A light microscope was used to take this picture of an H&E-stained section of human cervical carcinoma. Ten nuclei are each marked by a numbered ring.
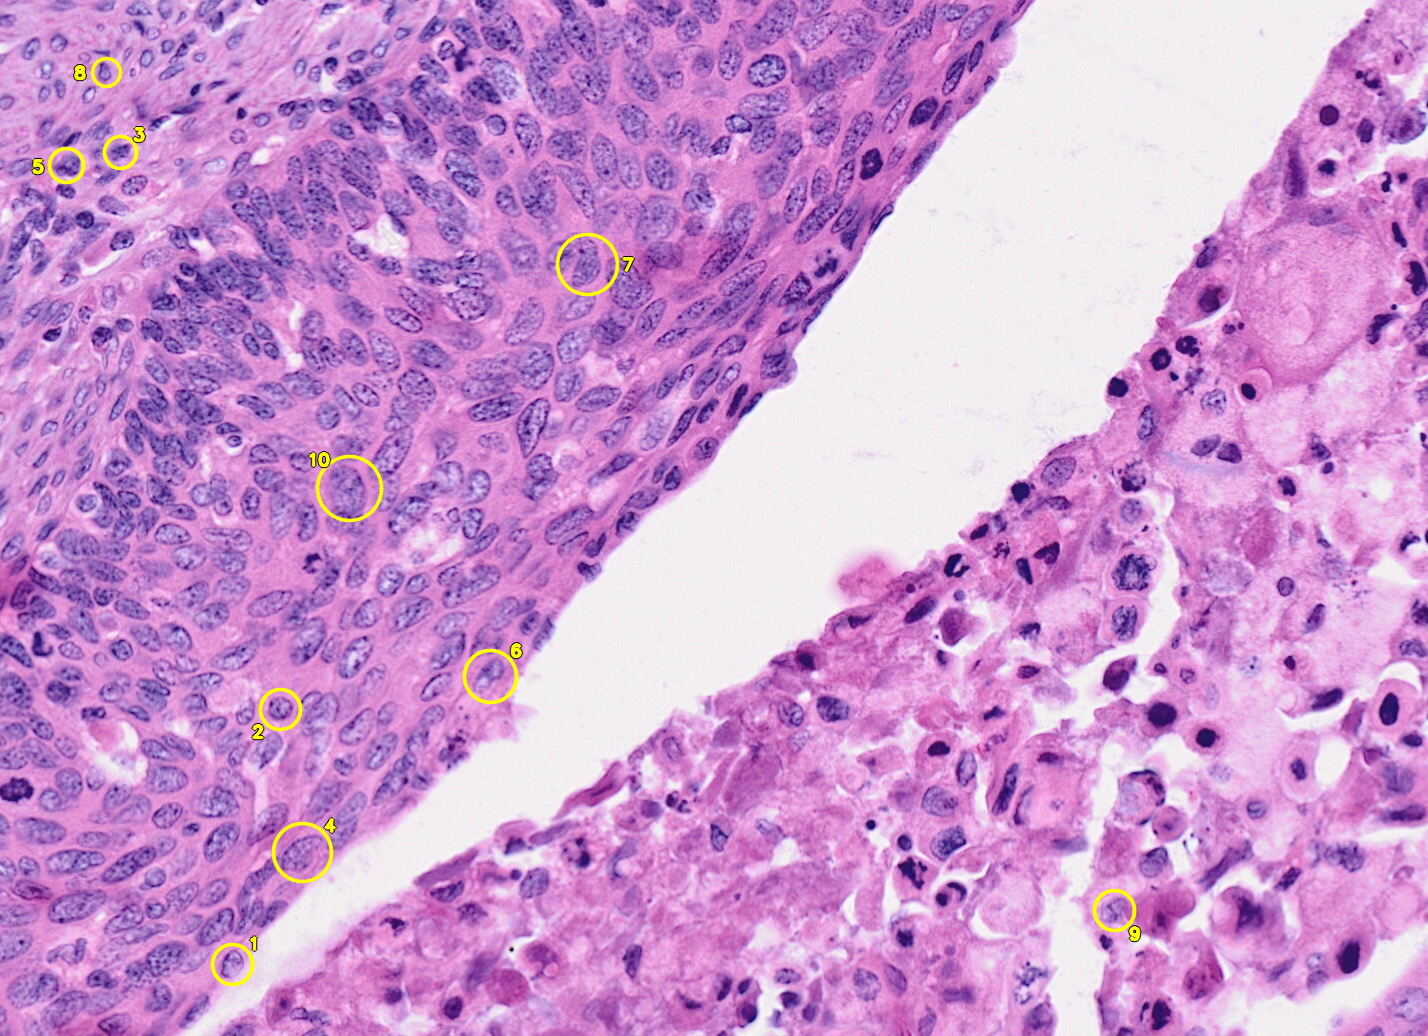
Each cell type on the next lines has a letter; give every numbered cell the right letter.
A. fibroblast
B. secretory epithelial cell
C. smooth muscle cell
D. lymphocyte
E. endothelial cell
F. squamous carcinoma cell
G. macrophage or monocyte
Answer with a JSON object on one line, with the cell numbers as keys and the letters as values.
{"1": "F", "2": "F", "3": "D", "4": "F", "5": "D", "6": "F", "7": "F", "8": "C", "9": "G", "10": "F"}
